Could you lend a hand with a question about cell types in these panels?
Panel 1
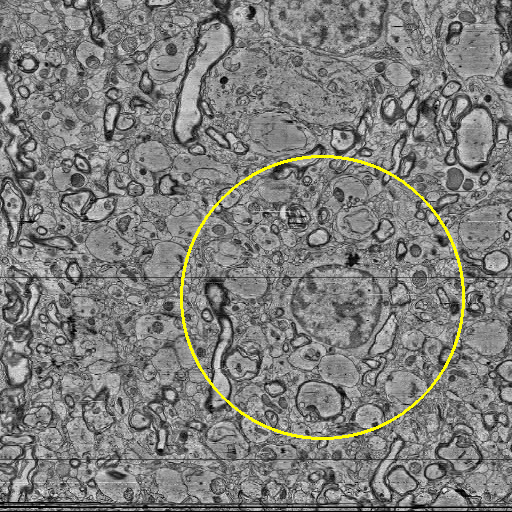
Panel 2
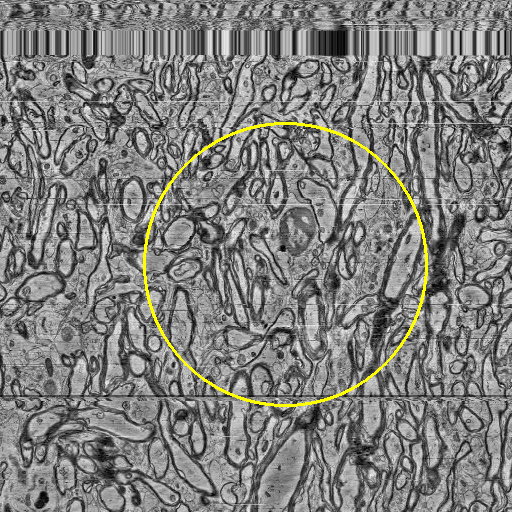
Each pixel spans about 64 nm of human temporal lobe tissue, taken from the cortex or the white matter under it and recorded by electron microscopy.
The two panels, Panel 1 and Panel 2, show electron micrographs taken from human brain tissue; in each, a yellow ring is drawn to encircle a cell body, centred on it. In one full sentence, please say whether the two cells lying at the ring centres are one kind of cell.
No, the cells at the ring centres in the two panels are two kinds of cell.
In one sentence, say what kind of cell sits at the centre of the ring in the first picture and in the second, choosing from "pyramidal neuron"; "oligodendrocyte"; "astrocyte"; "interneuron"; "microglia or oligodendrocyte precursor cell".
The first picture's ringed cell is an oligodendrocyte, while the second picture's is a microglial cell or oligodendrocyte precursor cell.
